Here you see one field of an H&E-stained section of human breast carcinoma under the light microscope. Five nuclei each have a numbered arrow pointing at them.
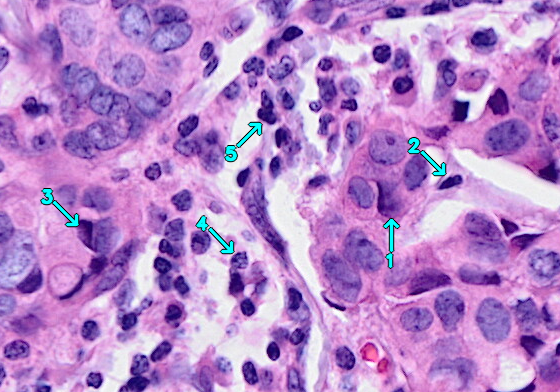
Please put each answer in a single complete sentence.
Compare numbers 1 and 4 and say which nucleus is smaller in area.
It is nucleus 4; nucleus 1 has about 3 times its area.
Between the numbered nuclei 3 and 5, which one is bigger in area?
The larger nucleus is 3, at roughly 2 times the area of 5.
